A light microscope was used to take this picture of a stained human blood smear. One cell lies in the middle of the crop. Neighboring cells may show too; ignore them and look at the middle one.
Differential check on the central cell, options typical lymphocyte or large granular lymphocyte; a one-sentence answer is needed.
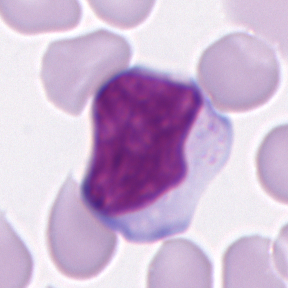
In the center of this field lies a large granular lymphocyte.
